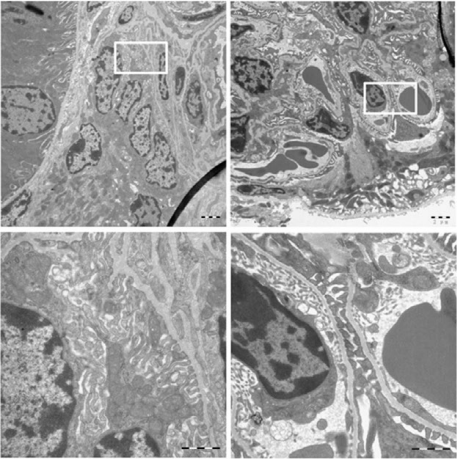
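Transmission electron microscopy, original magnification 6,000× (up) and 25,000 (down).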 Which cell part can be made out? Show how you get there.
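Higher-magnification lower images show thin cell extensions lying along a continuous grey membrane layer.
Conclusion: podocyte foot processes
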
